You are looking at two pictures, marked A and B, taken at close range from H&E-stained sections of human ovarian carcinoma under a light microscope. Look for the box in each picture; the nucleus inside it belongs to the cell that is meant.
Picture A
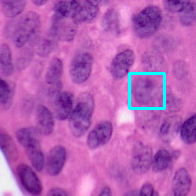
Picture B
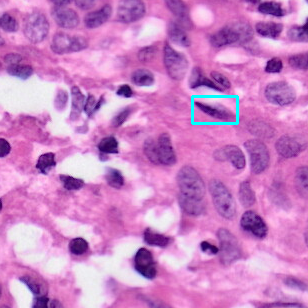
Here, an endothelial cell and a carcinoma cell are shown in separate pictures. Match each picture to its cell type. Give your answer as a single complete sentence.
Picture B shows an endothelial cell, while picture A shows a carcinoma cell.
